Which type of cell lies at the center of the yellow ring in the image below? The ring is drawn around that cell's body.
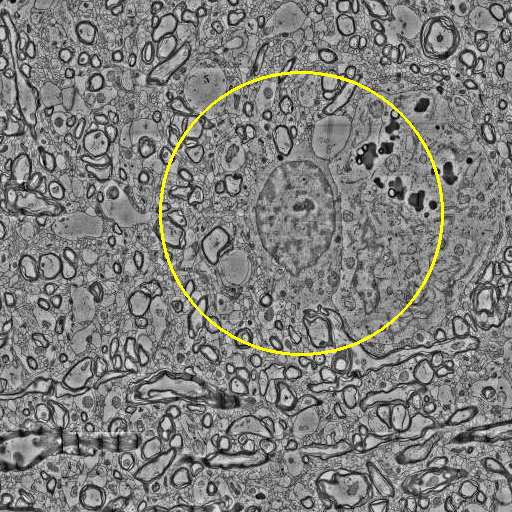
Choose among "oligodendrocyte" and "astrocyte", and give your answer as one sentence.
The cell body at the center belongs to an oligodendrocyte.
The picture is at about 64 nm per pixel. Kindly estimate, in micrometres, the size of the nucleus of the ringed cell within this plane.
About 7 micrometres by about 5 micrometres in this plane.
